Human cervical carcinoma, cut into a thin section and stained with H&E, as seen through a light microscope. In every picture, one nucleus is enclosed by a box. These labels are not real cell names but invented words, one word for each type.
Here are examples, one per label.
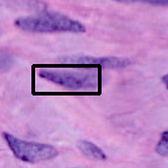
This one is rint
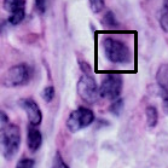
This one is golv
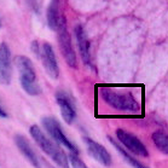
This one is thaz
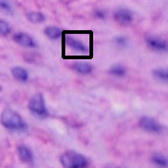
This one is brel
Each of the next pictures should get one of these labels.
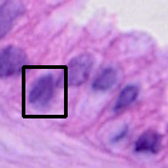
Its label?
thaz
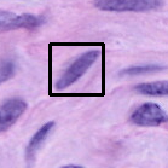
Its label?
rint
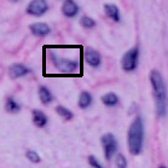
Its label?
brel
